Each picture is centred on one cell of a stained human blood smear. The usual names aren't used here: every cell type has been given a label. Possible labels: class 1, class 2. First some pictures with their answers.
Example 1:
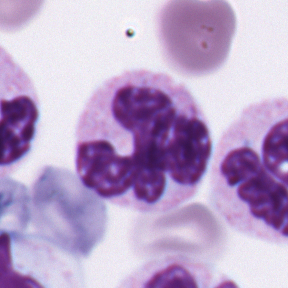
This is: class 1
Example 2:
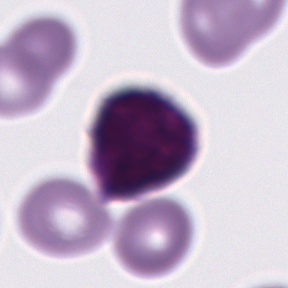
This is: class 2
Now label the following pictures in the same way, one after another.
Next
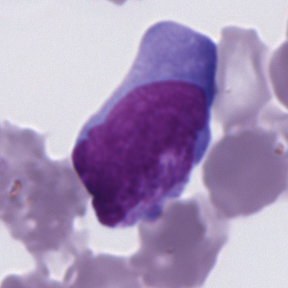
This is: class 2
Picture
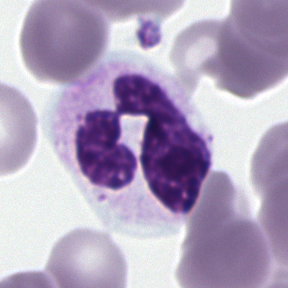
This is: class 1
